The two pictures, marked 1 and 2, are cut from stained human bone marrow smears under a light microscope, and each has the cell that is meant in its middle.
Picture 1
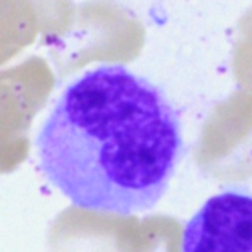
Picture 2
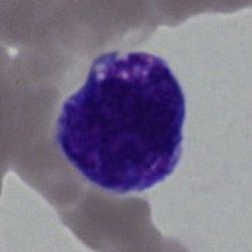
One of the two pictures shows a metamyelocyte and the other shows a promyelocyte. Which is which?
1: metamyelocyte
2: promyelocyte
